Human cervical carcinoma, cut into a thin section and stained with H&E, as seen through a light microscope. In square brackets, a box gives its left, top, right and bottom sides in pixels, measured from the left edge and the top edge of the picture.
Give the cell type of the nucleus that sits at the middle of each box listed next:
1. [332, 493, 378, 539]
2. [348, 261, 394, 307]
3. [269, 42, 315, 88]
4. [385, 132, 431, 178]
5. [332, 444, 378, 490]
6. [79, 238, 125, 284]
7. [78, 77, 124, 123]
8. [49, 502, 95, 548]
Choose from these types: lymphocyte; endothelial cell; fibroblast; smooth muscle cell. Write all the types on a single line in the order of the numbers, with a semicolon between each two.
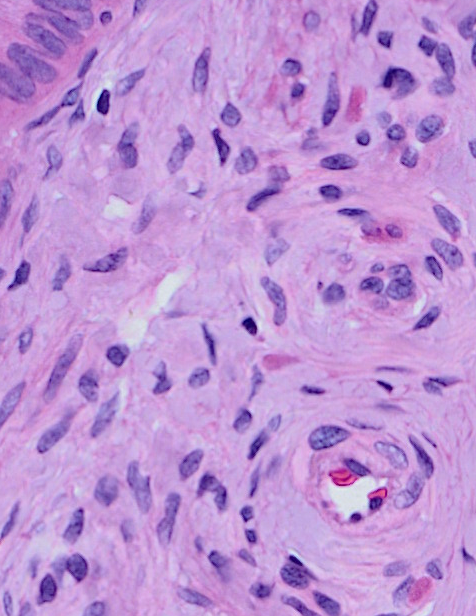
endothelial cell; endothelial cell; smooth muscle cell; endothelial cell; endothelial cell; fibroblast; lymphocyte; fibroblast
